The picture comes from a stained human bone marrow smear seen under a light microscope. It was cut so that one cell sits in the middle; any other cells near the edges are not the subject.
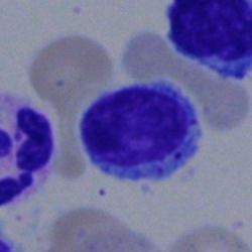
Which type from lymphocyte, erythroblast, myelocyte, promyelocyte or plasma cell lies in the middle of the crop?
lymphocyte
